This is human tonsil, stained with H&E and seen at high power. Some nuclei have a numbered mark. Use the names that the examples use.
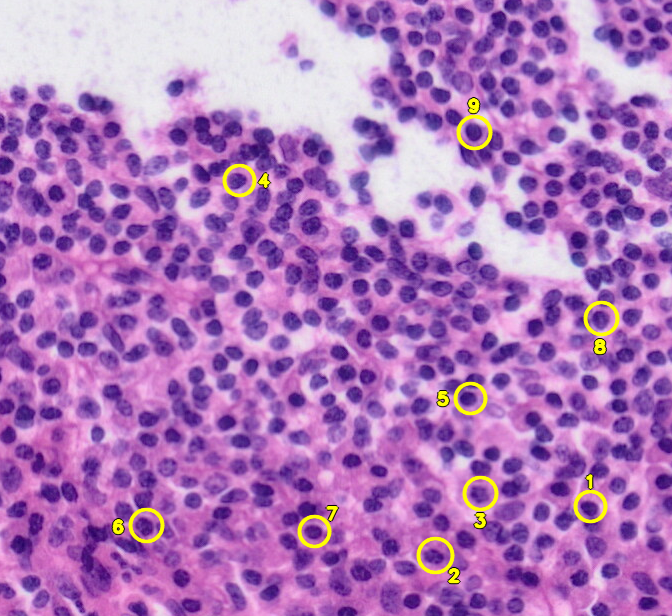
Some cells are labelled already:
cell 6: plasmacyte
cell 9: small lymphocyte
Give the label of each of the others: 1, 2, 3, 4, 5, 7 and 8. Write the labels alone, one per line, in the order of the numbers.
plasmacyte
plasmacyte
plasmacyte
small lymphocyte
small lymphocyte
plasmacyte
small lymphocyte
